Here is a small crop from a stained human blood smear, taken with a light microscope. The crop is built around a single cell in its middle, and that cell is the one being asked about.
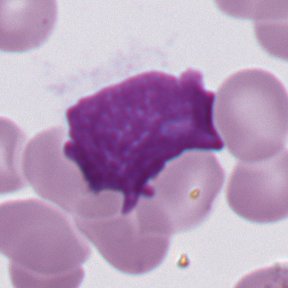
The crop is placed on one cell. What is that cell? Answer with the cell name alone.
smudge cell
